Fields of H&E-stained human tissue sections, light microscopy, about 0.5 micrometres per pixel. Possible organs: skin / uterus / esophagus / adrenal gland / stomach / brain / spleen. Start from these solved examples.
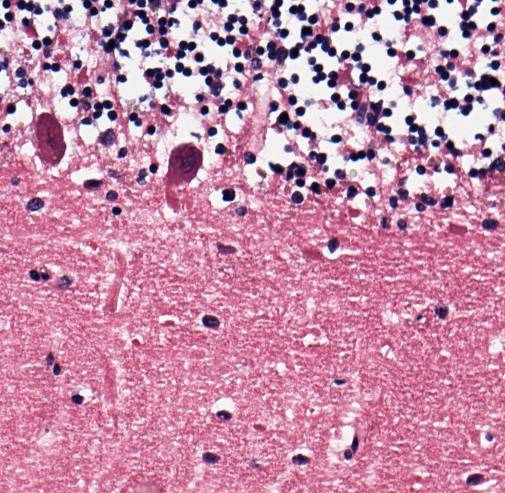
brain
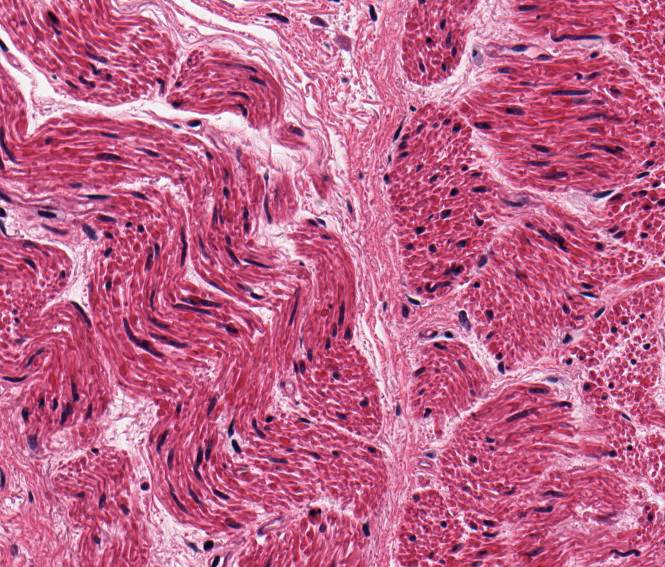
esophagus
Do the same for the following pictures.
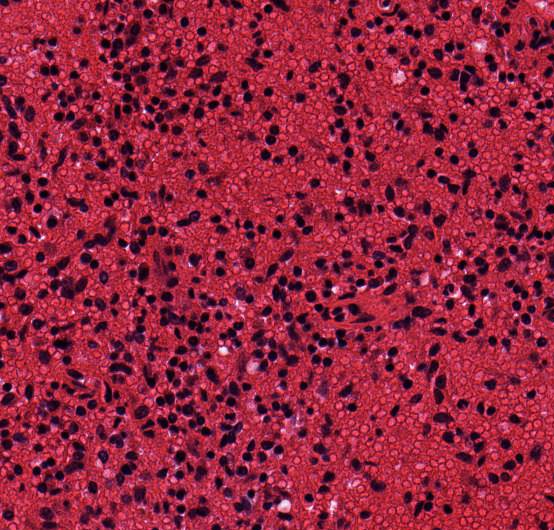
spleen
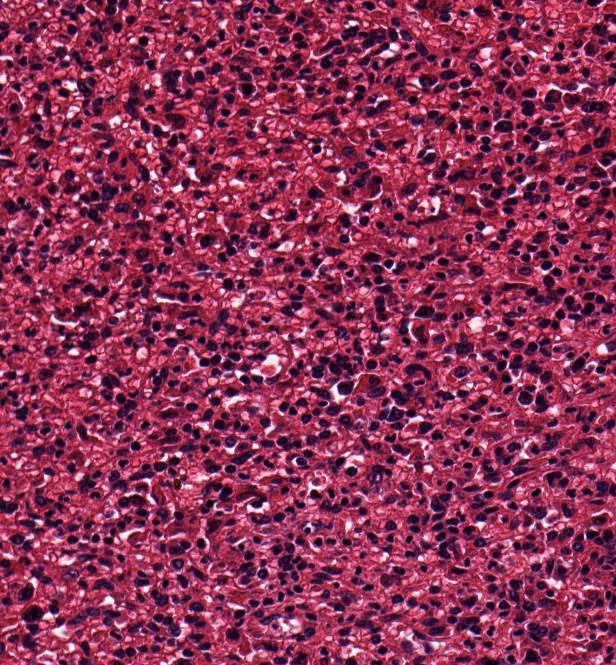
spleen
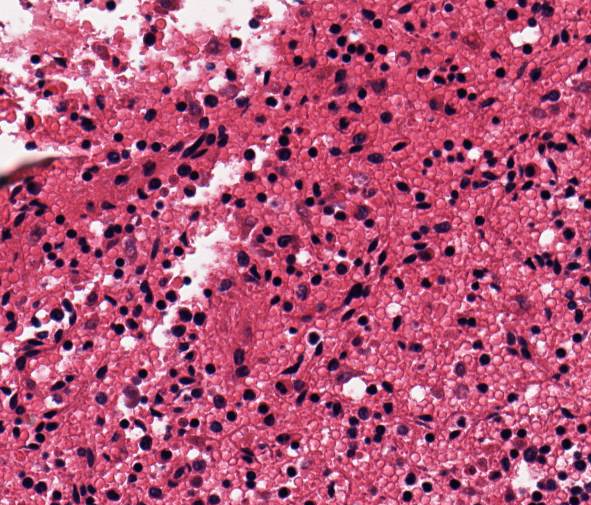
spleen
